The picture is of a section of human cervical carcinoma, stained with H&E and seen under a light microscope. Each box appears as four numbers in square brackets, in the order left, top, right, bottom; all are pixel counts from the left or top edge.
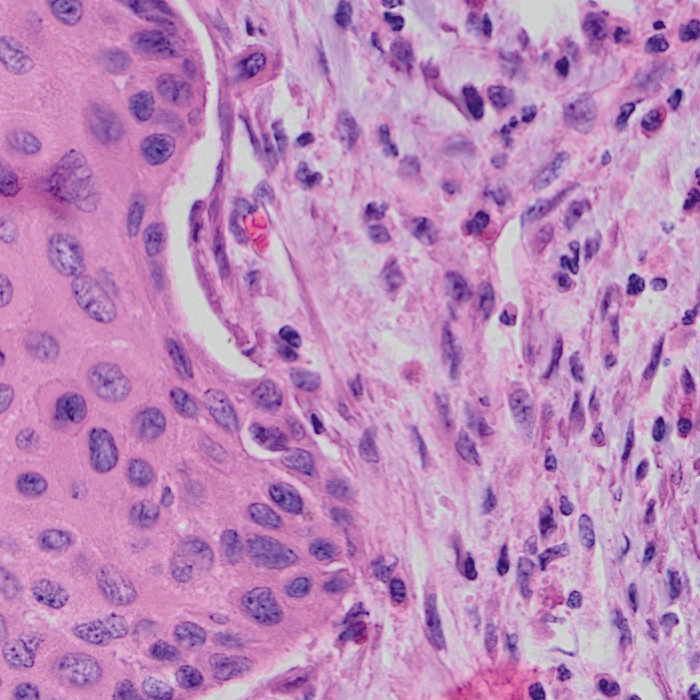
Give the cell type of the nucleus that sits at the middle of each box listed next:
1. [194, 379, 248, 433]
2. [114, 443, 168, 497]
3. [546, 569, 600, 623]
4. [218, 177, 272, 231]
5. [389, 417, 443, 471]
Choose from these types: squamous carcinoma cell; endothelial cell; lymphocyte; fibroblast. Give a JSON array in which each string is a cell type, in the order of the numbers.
["squamous carcinoma cell", "squamous carcinoma cell", "lymphocyte", "endothelial cell", "fibroblast"]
